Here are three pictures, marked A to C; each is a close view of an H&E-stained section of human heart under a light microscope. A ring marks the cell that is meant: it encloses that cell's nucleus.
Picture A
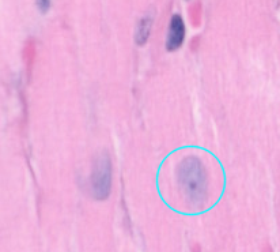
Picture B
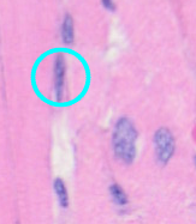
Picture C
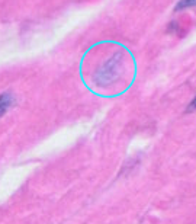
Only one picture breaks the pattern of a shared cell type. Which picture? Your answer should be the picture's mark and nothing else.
B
